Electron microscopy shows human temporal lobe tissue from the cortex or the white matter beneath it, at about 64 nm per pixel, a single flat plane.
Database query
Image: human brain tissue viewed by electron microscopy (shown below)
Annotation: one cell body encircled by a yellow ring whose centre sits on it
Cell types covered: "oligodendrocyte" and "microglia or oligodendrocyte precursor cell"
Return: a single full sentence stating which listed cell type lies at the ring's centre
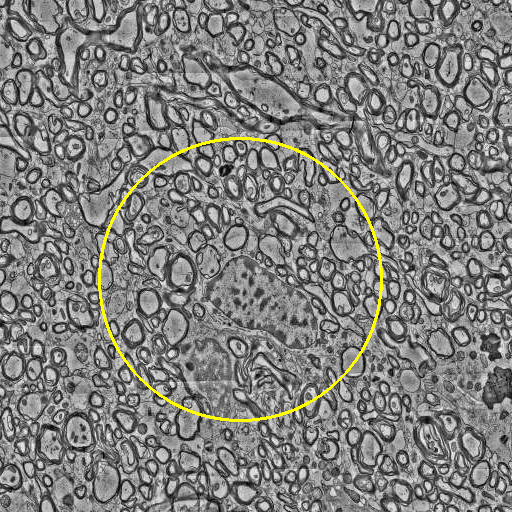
In the image, the cell lying at the ring's centre is a microglial cell or oligodendrocyte precursor cell.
